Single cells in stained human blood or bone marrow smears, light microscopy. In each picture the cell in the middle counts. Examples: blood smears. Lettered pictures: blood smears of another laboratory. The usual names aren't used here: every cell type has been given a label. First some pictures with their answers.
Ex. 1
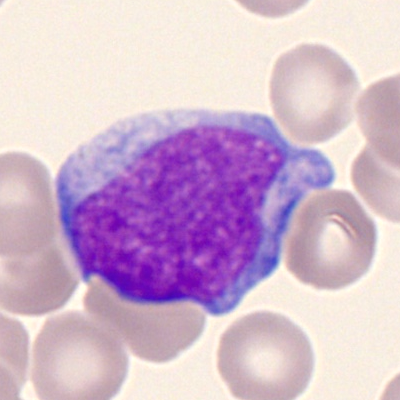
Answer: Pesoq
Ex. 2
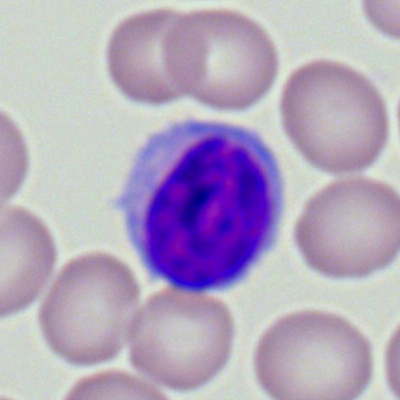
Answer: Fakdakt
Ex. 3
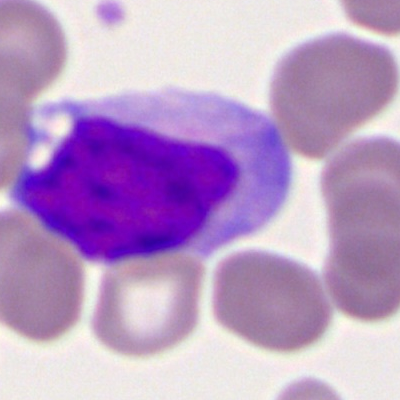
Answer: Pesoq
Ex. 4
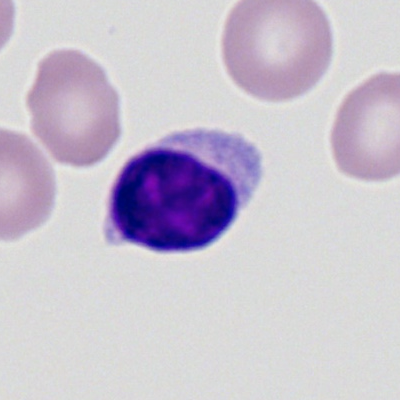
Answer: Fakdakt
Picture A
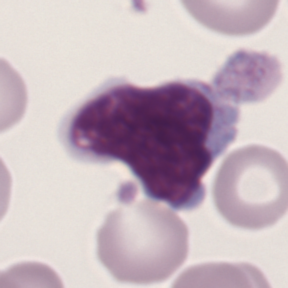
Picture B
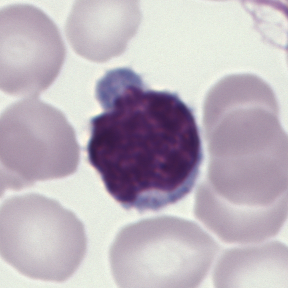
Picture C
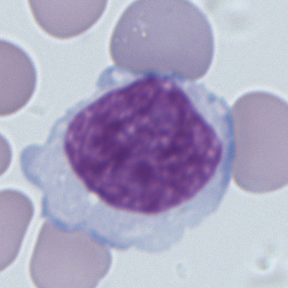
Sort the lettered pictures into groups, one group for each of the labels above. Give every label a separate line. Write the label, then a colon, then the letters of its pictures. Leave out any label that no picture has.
Pesoq: C
Fakdakt: A, B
